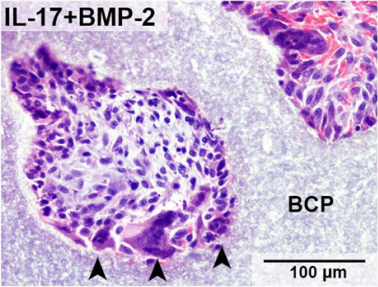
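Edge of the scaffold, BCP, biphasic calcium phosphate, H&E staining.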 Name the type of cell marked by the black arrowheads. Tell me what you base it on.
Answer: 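Large cells with several dark purple nuclei sit at the tissue border. The marked cells lie directly against the pale granular scaffold material. On this evidence: osteoclasts.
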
